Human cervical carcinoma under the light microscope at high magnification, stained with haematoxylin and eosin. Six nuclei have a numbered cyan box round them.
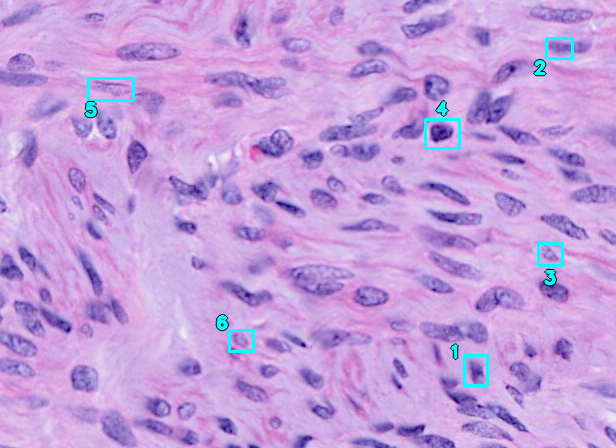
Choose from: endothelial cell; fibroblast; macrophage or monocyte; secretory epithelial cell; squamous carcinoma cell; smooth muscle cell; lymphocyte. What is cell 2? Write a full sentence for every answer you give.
Numbered cell 2 is a smooth muscle cell in this tissue section.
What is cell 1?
The cell pointed out by number 1 is a fibroblast.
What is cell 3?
Cell number 3 in this section is a smooth muscle cell.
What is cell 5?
Recognised here as a smooth muscle cell is the cell numbered 5.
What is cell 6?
The cell that bears the number 6 is a smooth muscle cell.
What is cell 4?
The numeral 4 marks a lymphocyte in this section.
